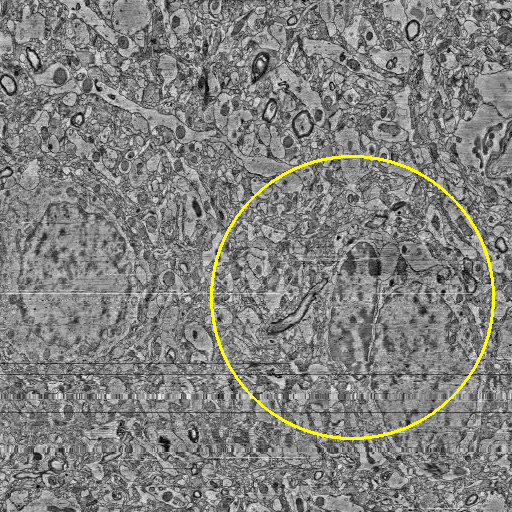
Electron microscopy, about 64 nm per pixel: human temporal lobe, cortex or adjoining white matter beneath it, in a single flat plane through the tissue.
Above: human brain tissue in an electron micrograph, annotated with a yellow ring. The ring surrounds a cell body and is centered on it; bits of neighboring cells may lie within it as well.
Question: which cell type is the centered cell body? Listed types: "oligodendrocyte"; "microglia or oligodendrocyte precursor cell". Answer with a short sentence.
The centered cell body is a microglial cell or oligodendrocyte precursor cell.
